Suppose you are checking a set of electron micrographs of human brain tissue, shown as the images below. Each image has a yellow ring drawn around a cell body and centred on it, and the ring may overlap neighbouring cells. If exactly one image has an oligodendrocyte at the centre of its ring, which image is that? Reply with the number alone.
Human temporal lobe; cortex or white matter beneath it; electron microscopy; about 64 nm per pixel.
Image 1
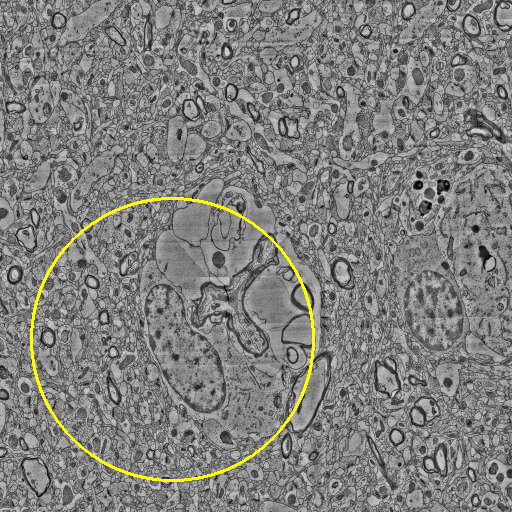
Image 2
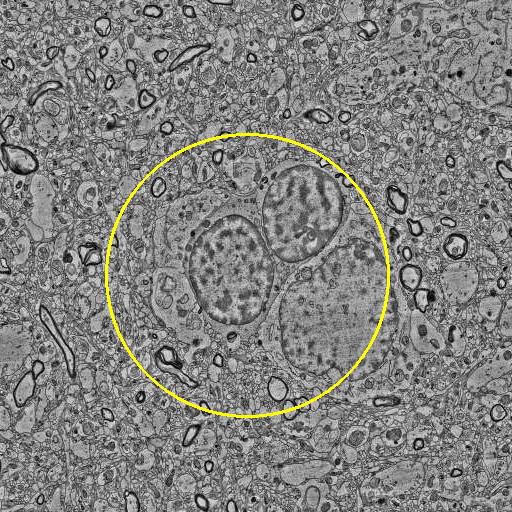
2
